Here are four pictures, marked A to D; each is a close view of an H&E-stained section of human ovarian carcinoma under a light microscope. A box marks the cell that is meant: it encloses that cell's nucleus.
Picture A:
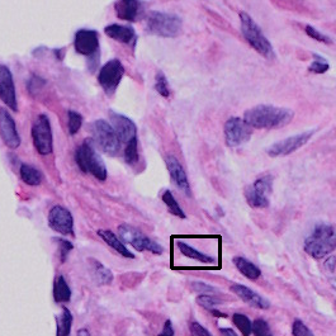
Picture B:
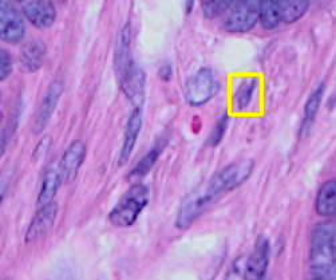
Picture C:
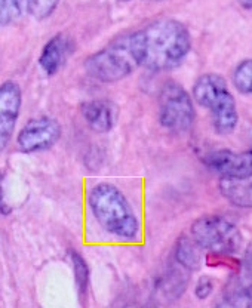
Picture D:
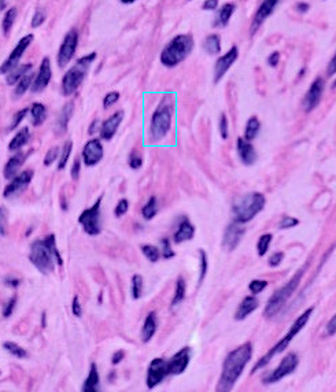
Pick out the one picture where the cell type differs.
D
